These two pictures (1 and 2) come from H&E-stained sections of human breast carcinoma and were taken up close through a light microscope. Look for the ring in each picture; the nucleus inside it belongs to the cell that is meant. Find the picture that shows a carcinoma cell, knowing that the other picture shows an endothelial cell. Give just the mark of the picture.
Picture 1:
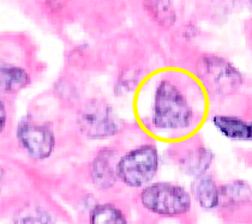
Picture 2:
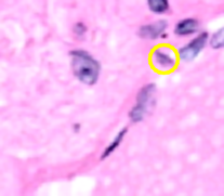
1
